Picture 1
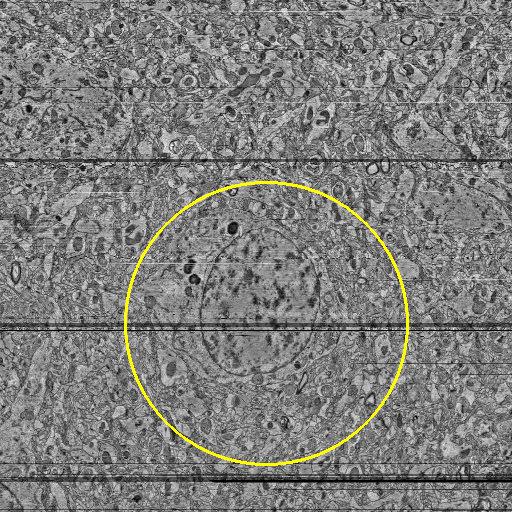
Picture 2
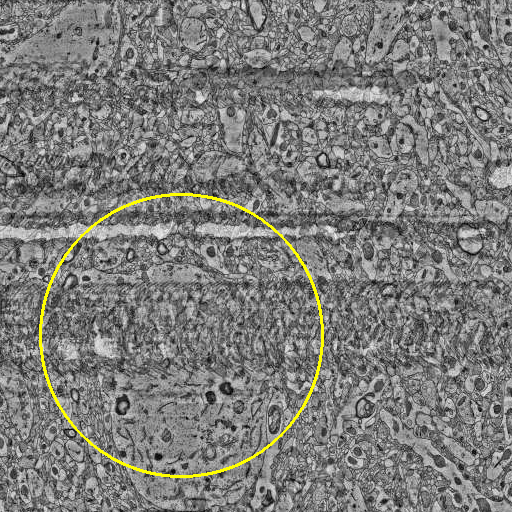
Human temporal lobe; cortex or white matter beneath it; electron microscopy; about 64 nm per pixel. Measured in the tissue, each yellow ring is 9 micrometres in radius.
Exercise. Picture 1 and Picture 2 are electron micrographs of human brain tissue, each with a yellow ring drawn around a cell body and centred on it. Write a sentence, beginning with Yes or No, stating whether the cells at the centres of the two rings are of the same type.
Yes, the cells at the centres of both rings are of the same type.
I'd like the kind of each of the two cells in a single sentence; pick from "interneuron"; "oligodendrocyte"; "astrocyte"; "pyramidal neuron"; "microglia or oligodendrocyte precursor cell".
Each of the two pictures has a pyramidal neuron at the ring centre.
